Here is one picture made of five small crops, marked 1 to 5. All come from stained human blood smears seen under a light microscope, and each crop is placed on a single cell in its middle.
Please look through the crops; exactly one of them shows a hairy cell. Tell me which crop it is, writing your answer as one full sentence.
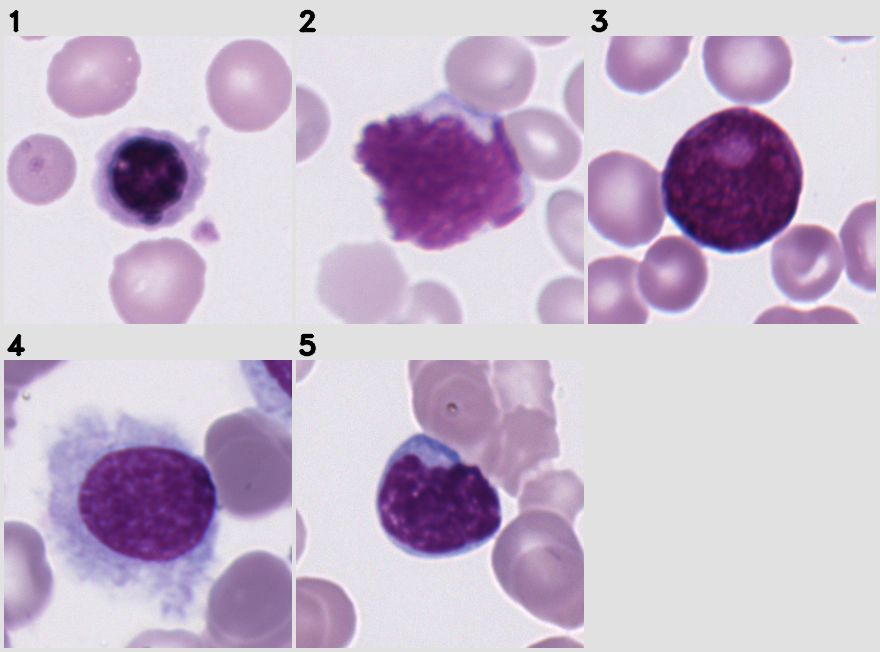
The crop carrying a hairy cell at the center is crop 4.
